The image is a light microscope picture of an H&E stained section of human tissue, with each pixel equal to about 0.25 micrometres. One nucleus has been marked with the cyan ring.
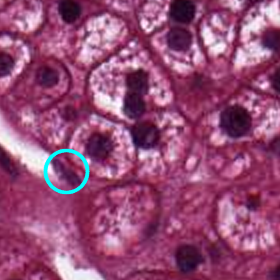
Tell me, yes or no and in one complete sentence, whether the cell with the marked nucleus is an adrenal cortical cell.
No, the marked nucleus resides in a supporting cell, not in an adrenal cortical cell.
